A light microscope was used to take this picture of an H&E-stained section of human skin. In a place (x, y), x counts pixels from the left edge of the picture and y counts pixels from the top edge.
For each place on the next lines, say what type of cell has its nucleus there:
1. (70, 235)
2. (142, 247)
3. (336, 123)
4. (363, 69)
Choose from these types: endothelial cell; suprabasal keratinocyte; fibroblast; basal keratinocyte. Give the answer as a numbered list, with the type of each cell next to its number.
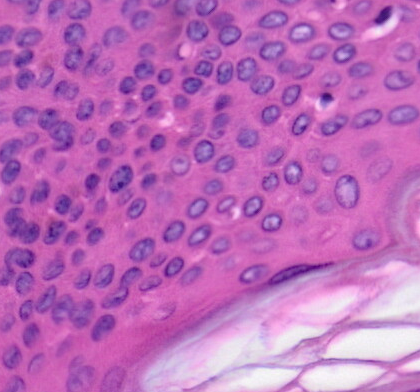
1. basal keratinocyte
2. suprabasal keratinocyte
3. suprabasal keratinocyte
4. suprabasal keratinocyte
